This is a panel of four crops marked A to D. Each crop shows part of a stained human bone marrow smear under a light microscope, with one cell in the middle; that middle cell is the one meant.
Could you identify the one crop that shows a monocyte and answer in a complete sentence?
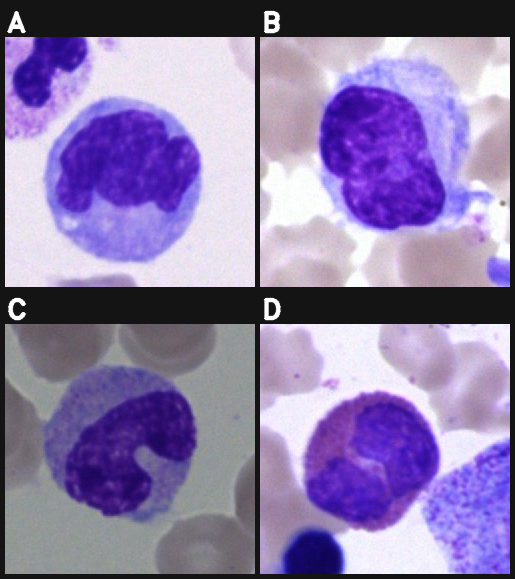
Crop A is the crop containing a monocyte.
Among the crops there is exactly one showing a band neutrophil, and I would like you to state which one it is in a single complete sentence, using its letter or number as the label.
Crop C, and no other, shows a band neutrophil.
